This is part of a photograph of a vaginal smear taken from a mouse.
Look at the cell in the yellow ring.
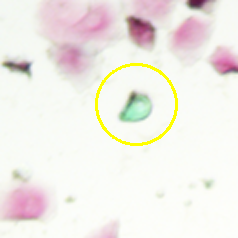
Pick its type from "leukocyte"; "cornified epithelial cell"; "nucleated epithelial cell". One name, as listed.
cornified epithelial cell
